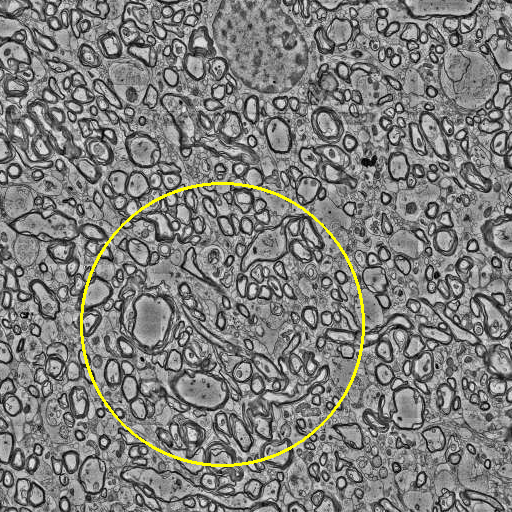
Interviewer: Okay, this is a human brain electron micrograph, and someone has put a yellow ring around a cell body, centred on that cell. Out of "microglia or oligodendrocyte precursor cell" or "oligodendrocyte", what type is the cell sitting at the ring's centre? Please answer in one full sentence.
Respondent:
The cell at the centre of the yellow ring in this picture is a microglial cell or oligodendrocyte precursor cell.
